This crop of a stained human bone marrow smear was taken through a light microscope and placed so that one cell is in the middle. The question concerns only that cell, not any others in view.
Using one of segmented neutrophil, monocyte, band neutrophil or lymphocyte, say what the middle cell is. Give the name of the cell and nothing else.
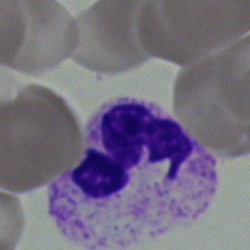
segmented neutrophil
